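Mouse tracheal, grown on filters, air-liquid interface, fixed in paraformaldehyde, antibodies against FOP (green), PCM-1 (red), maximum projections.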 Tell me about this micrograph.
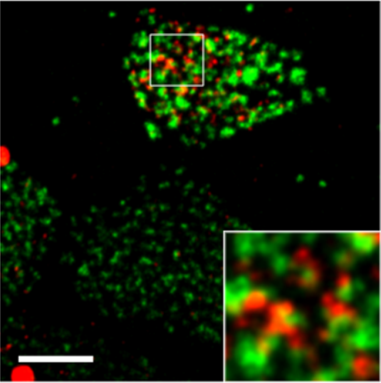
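This is a field of airway epithelial cells, with one multiciliated cell at the top whose apical region is crowded with bright green clusters. Smaller, irregular red granules lie scattered between and beside the green clusters, as the enlarged inset shows, while the cells below have only faint, finer green spots.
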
